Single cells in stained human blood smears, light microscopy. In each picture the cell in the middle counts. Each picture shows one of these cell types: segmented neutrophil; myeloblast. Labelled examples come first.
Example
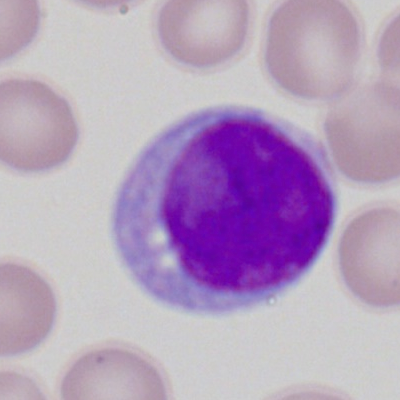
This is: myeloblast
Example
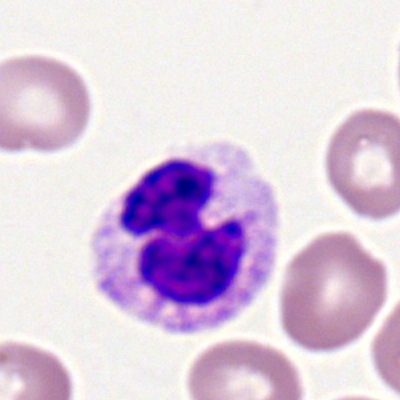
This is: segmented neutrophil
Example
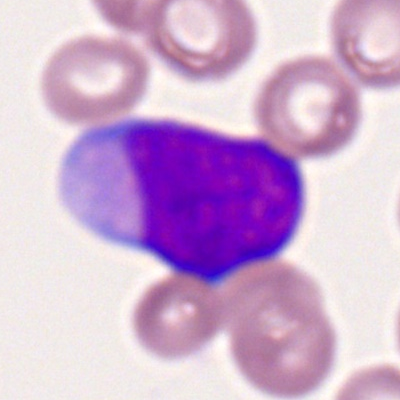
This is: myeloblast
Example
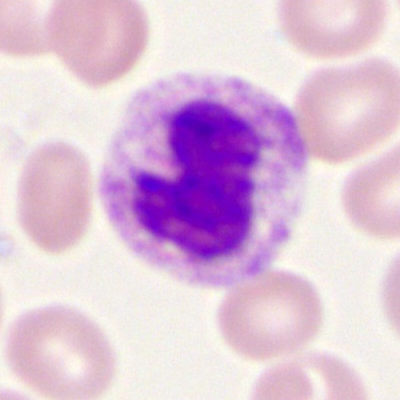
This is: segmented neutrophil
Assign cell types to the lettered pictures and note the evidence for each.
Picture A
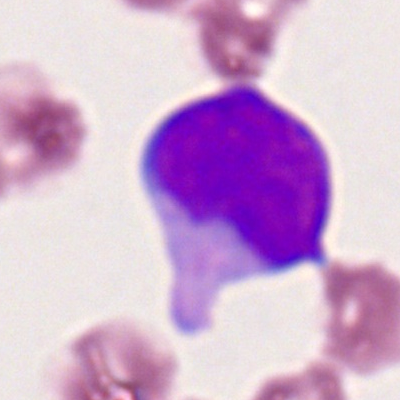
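Label: myeloblast. The nucleus fills most of the cell.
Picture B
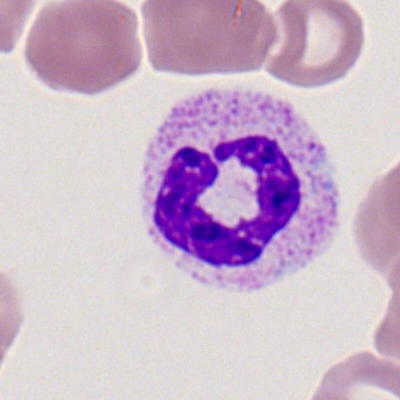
Label: segmented neutrophil. The cytoplasm is abundant and pale pink.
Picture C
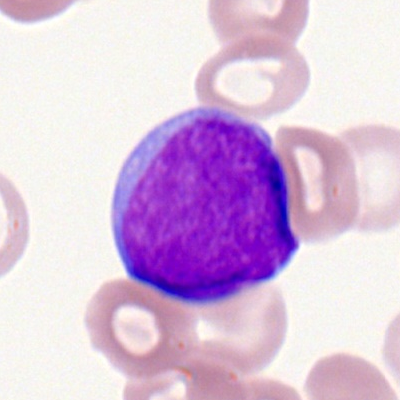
Label: myeloblast. The cytoplasm forms only a thin rim around the nucleus.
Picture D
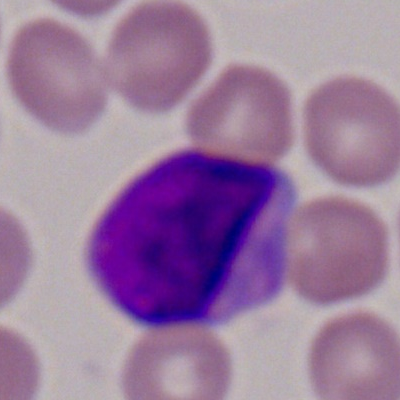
Label: myeloblast. The nucleus fills most of the cell and sits toward the left side.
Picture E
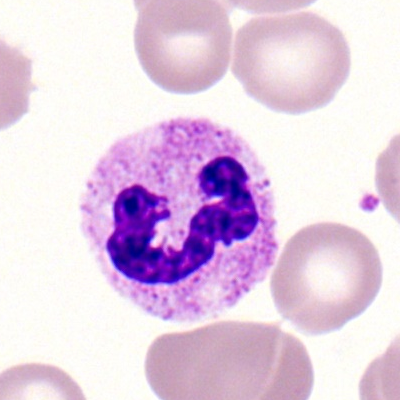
Label: segmented neutrophil. The cytoplasm is abundant and pale pinkish-lilac.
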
